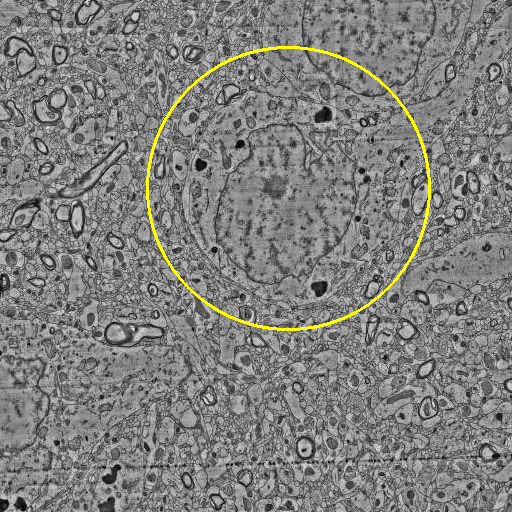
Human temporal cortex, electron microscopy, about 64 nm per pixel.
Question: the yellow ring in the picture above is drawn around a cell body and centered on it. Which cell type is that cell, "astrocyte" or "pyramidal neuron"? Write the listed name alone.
pyramidal neuron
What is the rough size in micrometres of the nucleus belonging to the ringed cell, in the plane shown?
The nucleus of the ringed cell is approximately 11 by 9 micrometres in this plane.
